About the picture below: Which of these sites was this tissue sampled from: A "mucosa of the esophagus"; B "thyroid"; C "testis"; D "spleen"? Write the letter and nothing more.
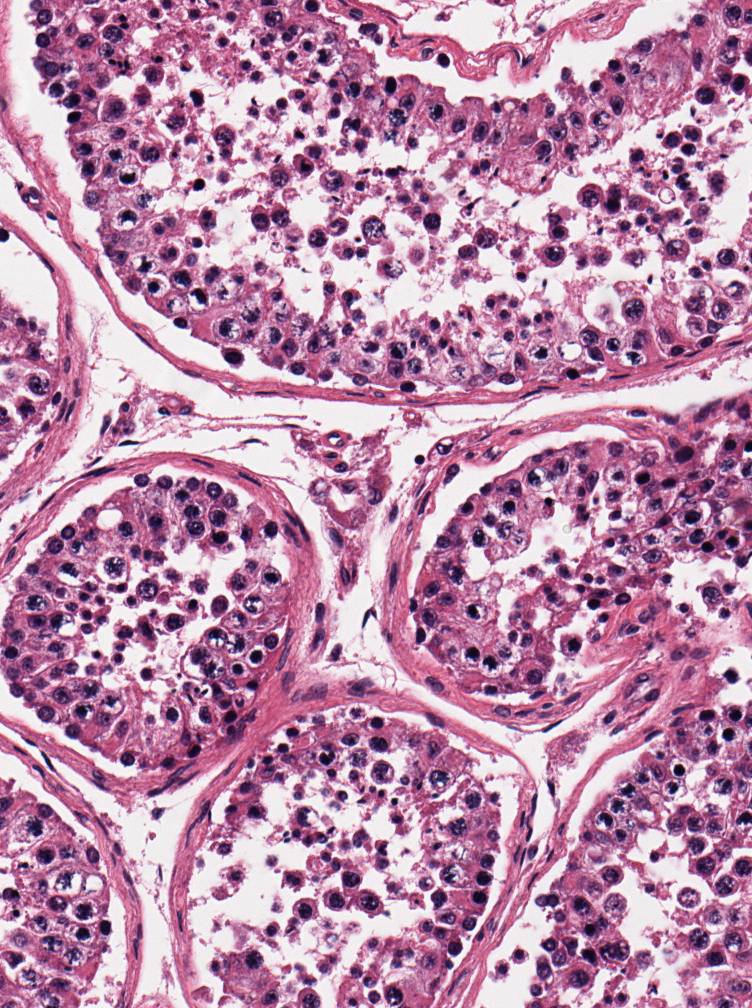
C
